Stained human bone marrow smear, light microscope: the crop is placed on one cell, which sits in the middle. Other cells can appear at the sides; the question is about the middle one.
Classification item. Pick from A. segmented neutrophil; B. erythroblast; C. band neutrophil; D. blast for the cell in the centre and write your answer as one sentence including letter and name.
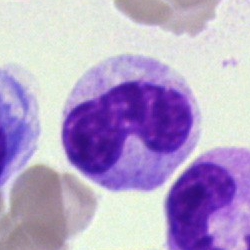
The cell in the centre of the crop is a band neutrophil, so option C is the correct one.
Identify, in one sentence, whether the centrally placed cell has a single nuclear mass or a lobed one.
Round, oval or kidney-shaped, the nucleus is one compact mass.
